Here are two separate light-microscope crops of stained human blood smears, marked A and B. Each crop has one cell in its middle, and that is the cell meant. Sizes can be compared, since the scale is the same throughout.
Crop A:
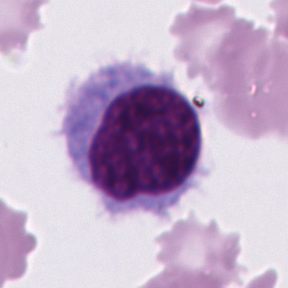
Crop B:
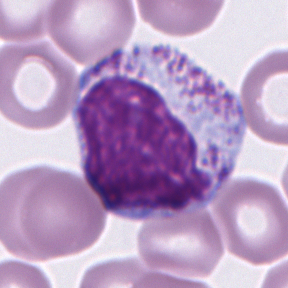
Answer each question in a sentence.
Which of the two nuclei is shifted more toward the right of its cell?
The nucleus in crop A lies further toward the right of its cell.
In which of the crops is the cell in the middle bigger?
The cell in crop B is larger, with about 1.5 times the area of the one in crop A.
